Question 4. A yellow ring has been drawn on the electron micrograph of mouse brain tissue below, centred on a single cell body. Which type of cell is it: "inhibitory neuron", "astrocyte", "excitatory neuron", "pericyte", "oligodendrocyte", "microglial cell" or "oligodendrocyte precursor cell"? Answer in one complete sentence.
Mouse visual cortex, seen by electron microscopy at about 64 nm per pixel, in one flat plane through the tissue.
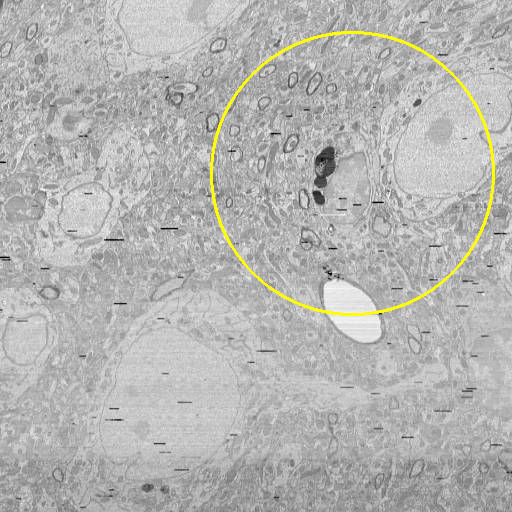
This cell body belongs to a microglial cell.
